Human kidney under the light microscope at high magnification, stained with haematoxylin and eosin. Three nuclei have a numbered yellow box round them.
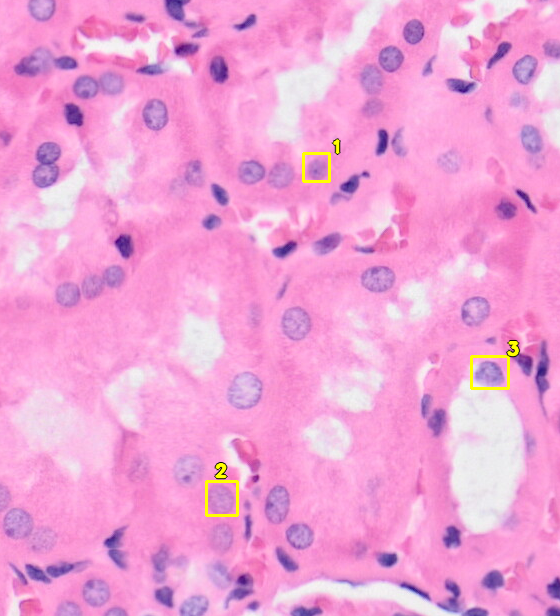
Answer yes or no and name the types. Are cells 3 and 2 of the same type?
No, cell 3 counts as a loop of Henle or distal tubule cell, and cell 2 counts as a proximal tubule cell.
